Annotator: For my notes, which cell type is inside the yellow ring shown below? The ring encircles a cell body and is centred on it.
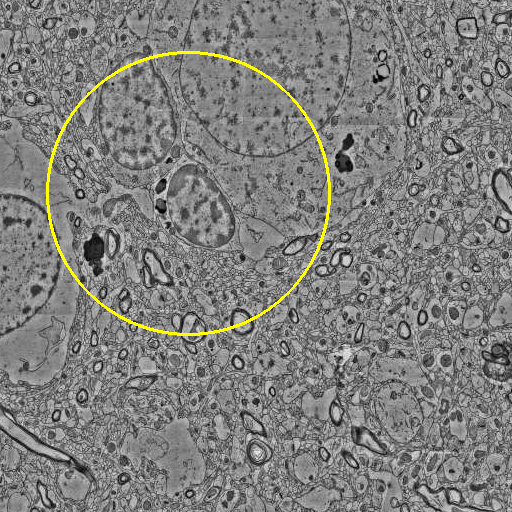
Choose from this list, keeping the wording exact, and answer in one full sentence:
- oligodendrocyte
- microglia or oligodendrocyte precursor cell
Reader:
At the centre of the yellow ring there is a microglial cell or oligodendrocyte precursor cell, as shown in the picture.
